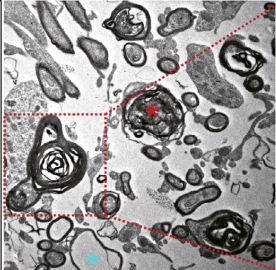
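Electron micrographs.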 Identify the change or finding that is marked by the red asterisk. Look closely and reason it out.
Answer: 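The marked profile has a thick, disorganised, whorled myelin wrapping. The axon inside is irregular rather than a round, even core. The answer: injured axons.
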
